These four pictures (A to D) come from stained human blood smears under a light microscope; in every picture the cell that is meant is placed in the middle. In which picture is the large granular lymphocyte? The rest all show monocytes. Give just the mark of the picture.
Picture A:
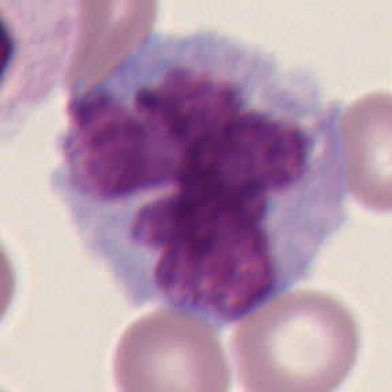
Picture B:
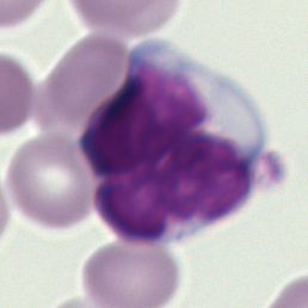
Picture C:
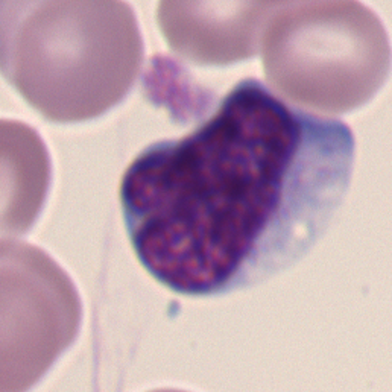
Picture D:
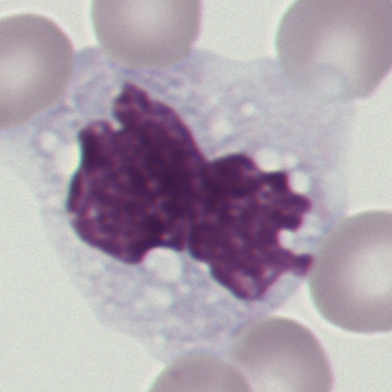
B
